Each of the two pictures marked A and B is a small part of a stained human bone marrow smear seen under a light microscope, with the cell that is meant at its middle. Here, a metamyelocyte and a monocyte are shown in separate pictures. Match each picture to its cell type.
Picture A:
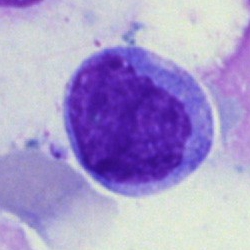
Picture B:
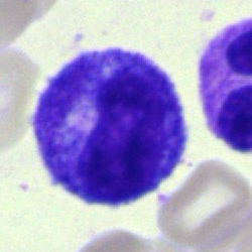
A: monocyte
B: metamyelocyte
